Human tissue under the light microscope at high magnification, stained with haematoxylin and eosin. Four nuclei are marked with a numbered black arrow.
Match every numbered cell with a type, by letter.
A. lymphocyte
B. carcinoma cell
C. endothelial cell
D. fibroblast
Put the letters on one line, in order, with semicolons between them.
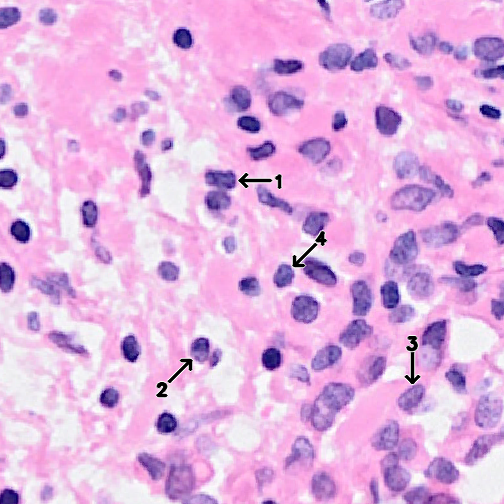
A; A; B; A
